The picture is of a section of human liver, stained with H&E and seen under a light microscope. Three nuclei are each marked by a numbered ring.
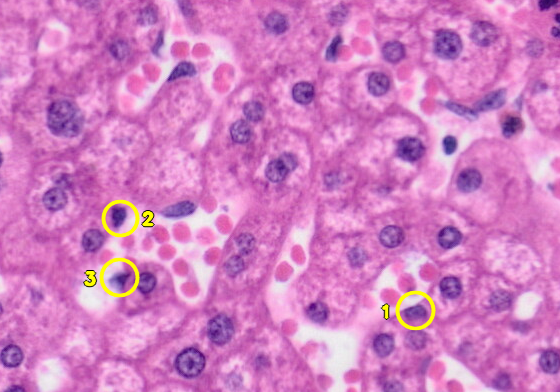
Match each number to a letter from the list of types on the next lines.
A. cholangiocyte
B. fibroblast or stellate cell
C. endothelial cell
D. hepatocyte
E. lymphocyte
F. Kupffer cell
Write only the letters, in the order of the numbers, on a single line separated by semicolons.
B; E; C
